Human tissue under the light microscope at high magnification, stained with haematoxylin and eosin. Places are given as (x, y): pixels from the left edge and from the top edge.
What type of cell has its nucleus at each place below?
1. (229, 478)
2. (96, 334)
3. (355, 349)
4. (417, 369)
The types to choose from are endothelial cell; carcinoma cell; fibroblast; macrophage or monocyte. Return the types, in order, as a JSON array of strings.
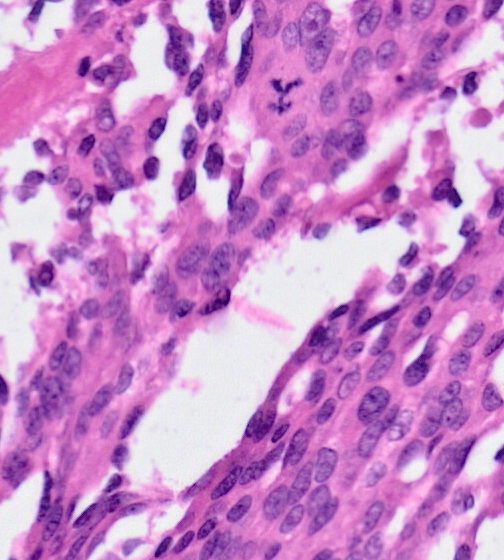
["carcinoma cell", "carcinoma cell", "macrophage or monocyte", "carcinoma cell"]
